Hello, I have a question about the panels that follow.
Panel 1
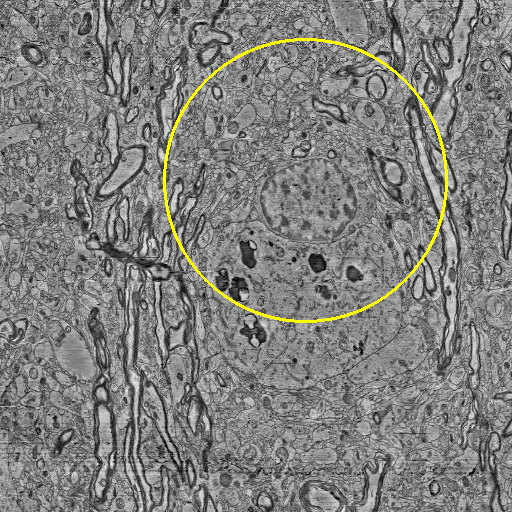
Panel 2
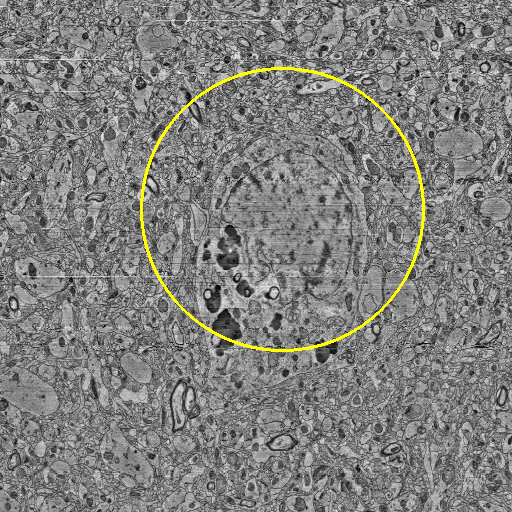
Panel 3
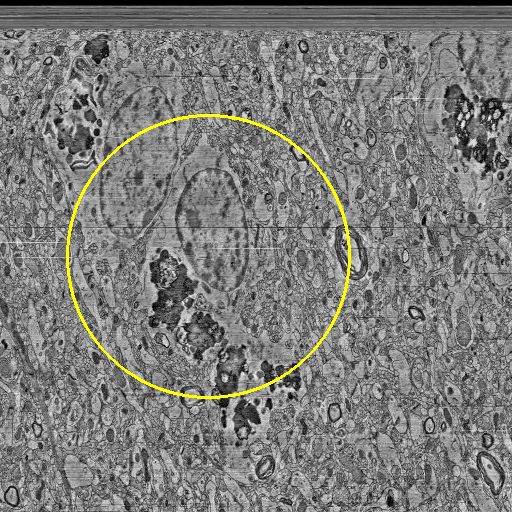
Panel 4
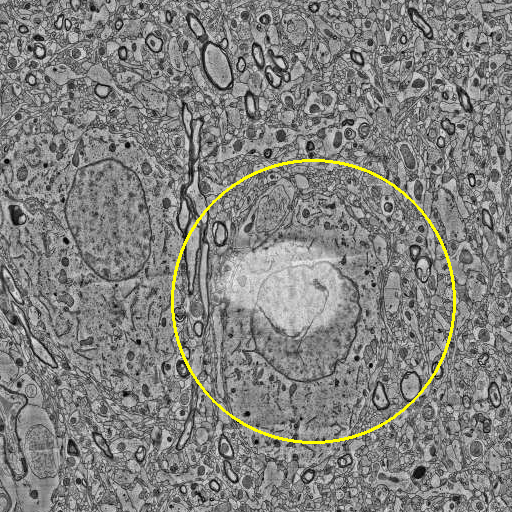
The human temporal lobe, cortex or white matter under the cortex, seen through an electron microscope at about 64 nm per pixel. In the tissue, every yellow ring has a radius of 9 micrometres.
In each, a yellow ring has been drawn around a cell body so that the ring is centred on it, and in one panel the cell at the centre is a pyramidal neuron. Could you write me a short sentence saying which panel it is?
It is Panel 4.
